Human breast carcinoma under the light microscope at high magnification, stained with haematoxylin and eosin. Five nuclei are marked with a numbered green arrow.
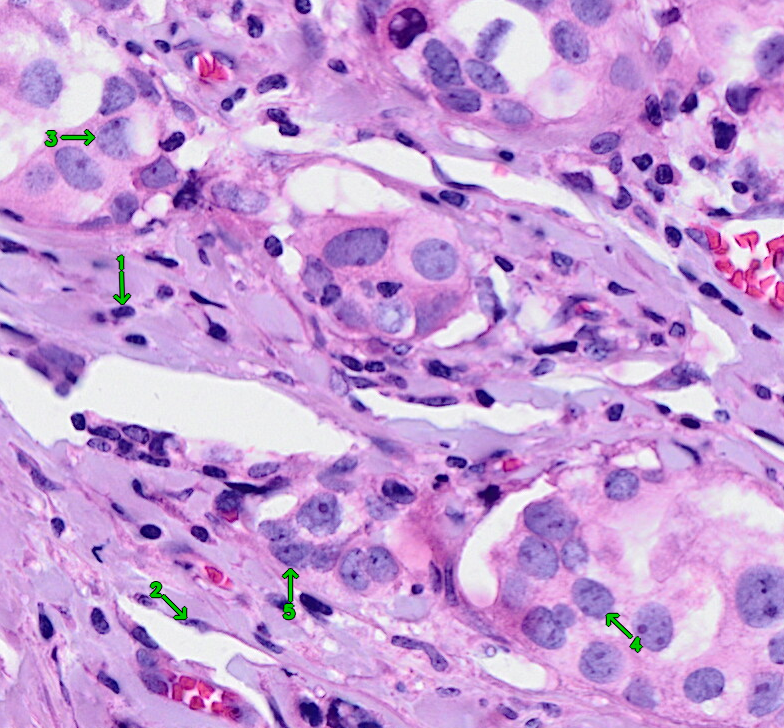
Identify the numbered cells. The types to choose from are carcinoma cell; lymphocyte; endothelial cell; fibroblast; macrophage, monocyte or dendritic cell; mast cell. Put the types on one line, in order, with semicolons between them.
lymphocyte; fibroblast; carcinoma cell; carcinoma cell; carcinoma cell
